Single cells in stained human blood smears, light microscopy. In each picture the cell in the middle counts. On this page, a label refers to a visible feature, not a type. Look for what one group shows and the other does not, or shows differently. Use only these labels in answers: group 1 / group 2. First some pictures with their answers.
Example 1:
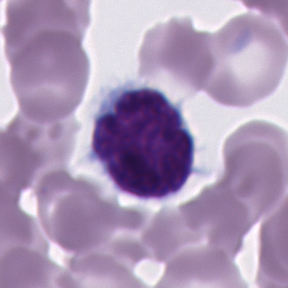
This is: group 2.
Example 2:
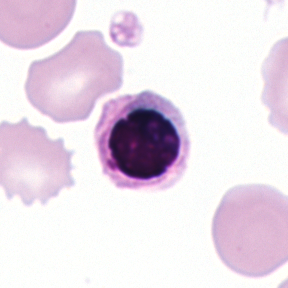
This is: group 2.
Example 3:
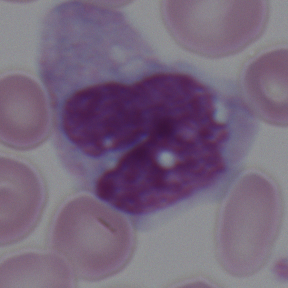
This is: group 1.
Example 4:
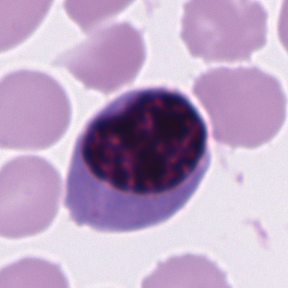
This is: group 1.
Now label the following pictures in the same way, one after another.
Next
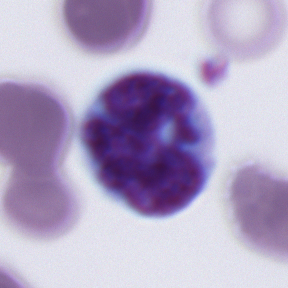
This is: group 2.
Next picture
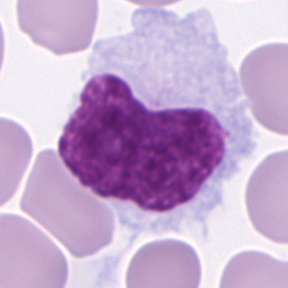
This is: group 1.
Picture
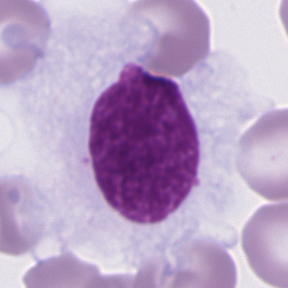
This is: group 1.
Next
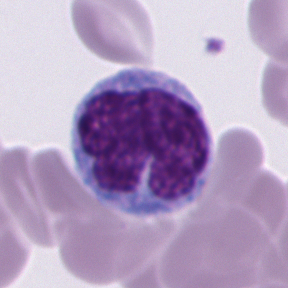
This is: group 2.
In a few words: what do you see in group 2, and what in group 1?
Seen in group 2: scant cytoplasm; seen in group 1: abundant cytoplasm.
